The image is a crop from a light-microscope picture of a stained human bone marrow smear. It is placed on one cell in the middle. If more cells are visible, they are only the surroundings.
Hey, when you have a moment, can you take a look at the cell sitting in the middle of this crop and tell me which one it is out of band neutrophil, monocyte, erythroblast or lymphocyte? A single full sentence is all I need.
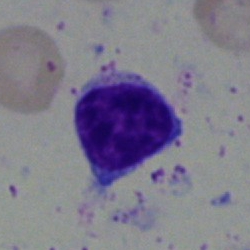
In the crop, the cell of interest at the centre is a lymphocyte.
